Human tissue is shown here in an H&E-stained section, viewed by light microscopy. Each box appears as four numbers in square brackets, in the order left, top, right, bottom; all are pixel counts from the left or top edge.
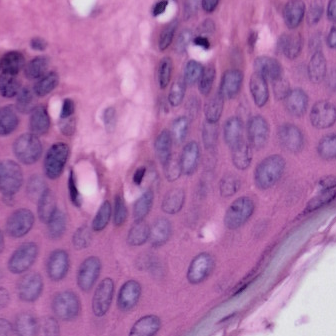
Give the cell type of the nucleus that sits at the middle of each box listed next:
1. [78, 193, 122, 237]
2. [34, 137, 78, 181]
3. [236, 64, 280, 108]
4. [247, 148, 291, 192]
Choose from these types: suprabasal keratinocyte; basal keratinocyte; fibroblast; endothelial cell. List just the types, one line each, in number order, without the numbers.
basal keratinocyte
basal keratinocyte
basal keratinocyte
suprabasal keratinocyte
